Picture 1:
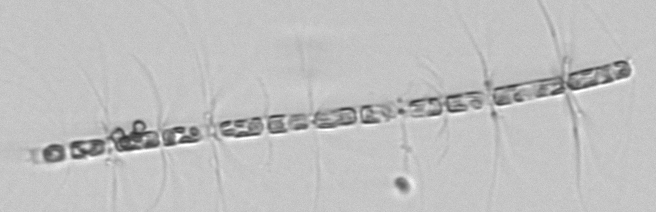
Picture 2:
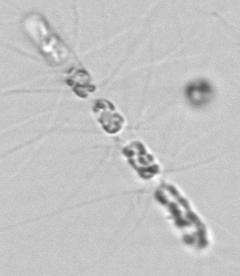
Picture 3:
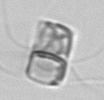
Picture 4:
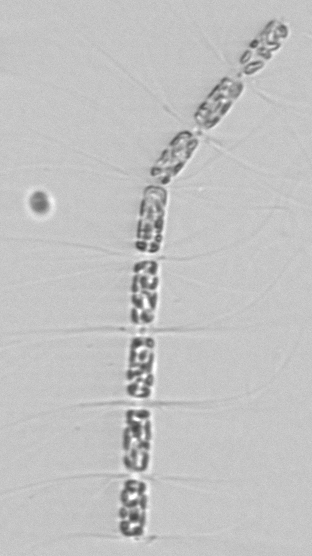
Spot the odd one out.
Picture 3 (Chaetoceros among Bacteriastrum furcatum).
